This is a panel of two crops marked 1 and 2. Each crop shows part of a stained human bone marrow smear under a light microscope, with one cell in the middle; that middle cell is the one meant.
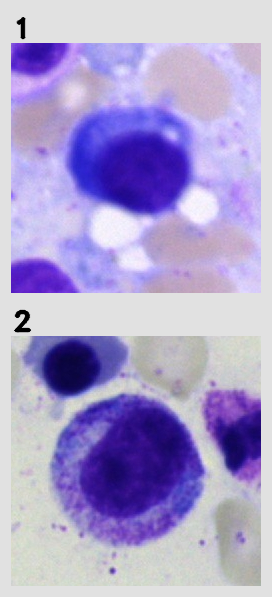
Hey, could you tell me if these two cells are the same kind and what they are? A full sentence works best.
No, crop 1 gives us a plasma cell and crop 2 gives us a promyelocyte.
